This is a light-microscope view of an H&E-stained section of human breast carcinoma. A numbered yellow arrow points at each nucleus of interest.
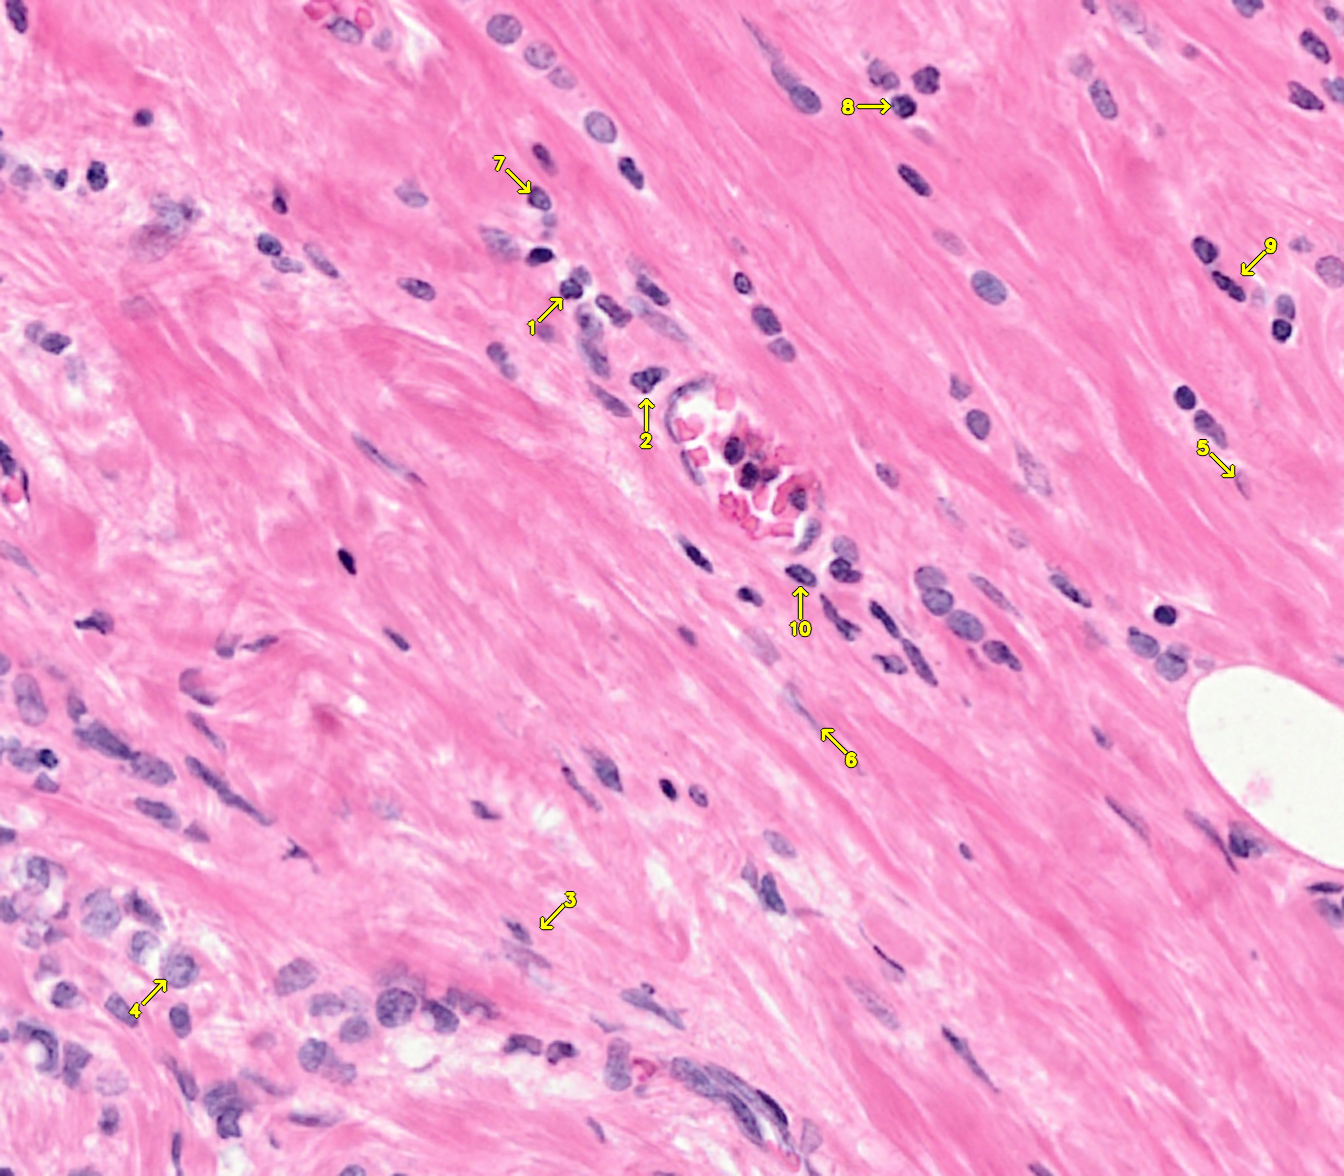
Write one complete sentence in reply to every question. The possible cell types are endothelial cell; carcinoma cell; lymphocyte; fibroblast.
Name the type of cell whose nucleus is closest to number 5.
It is a lymphocyte whose nucleus is nearest to number 5.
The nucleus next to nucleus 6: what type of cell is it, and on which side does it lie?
Lying above and to the left of nucleus 6, the nearest nucleus is that of a fibroblast.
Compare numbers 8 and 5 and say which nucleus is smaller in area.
Nucleus 5 is the smaller one; nucleus 8 covers about 1.5 times its area.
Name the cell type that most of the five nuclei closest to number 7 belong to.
Lymphocytes account for more than half of the five nuclei nearest to number 7.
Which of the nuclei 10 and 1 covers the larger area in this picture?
The larger nucleus is 1, at roughly 1.5 times the area of 10.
